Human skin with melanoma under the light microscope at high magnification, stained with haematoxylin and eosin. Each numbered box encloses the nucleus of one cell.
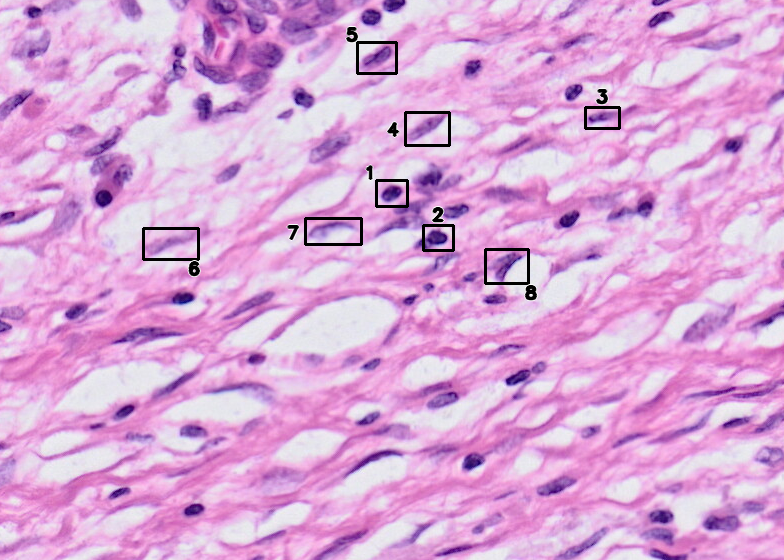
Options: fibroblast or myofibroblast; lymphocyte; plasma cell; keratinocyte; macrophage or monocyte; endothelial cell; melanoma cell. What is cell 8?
fibroblast or myofibroblast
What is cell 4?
fibroblast or myofibroblast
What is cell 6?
fibroblast or myofibroblast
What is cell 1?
lymphocyte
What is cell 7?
fibroblast or myofibroblast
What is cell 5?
macrophage or monocyte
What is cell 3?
fibroblast or myofibroblast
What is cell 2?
lymphocyte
